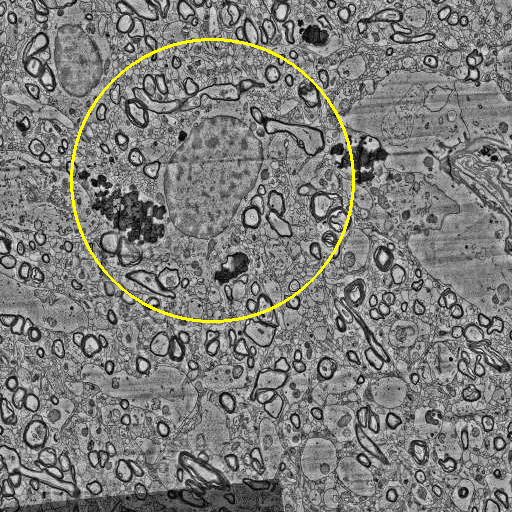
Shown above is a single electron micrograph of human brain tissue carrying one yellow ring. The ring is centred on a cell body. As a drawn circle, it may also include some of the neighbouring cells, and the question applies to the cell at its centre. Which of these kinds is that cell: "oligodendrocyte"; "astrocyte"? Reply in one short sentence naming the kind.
The cell marked by the ring is an oligodendrocyte.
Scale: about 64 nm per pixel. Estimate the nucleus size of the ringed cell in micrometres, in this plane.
The ringed cell's nucleus measures approximately 8 by 6 micrometres in this plane.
